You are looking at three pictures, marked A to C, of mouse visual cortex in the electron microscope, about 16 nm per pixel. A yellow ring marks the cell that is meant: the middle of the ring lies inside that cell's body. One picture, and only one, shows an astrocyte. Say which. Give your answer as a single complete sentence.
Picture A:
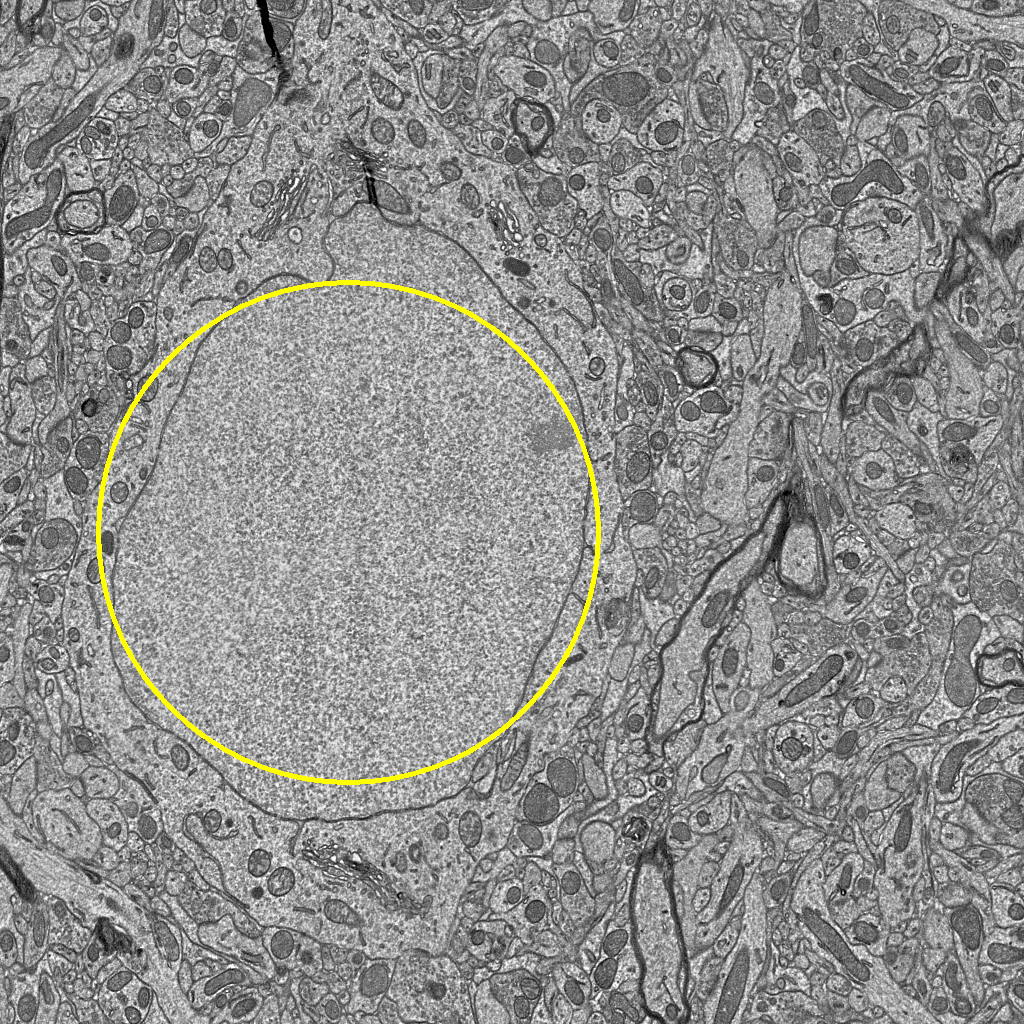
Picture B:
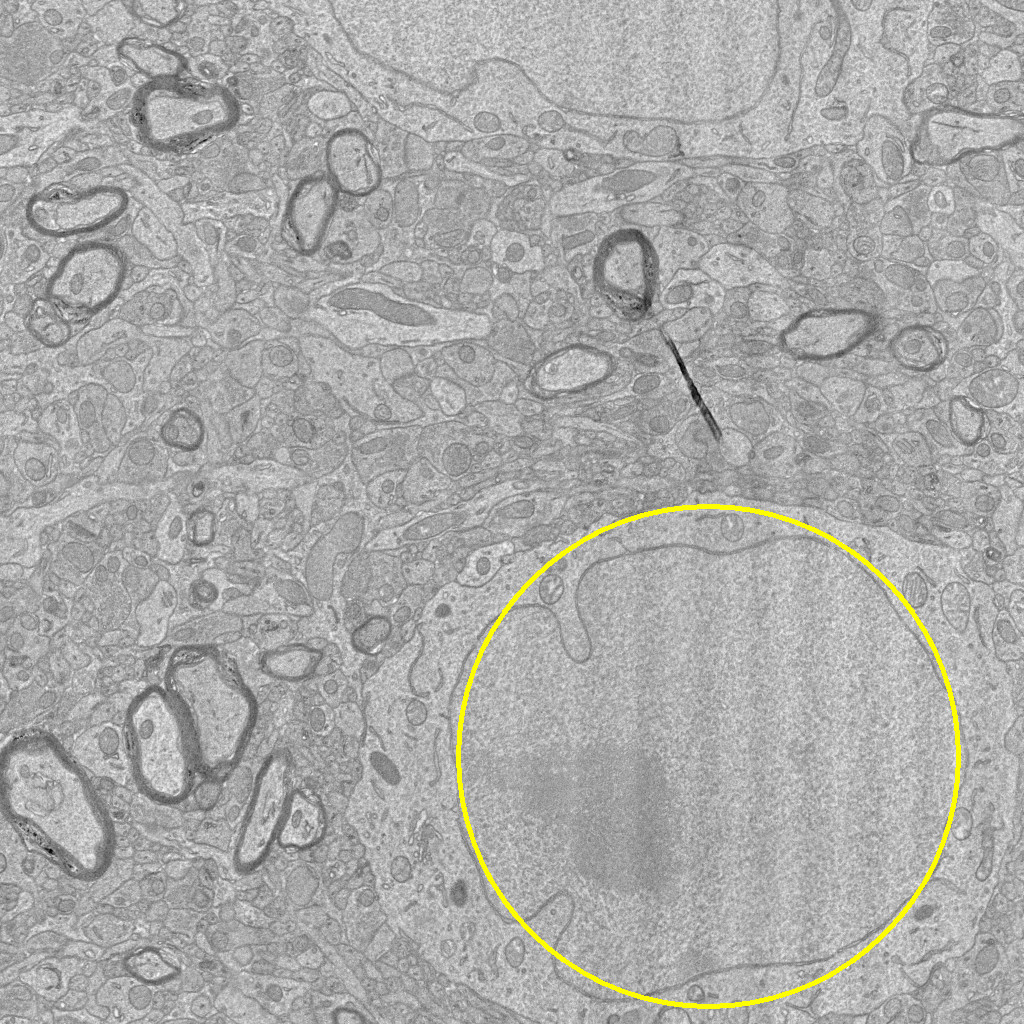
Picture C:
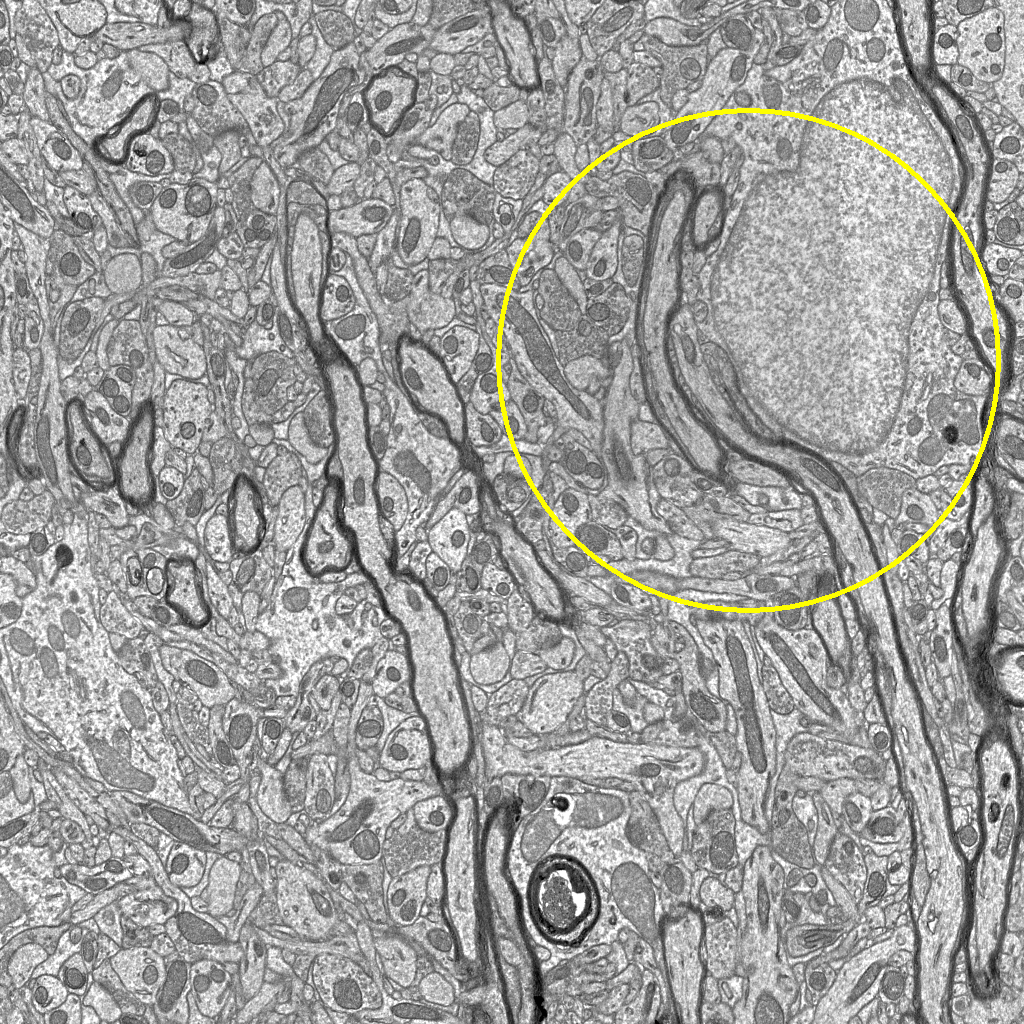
It is picture C that shows the astrocyte.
